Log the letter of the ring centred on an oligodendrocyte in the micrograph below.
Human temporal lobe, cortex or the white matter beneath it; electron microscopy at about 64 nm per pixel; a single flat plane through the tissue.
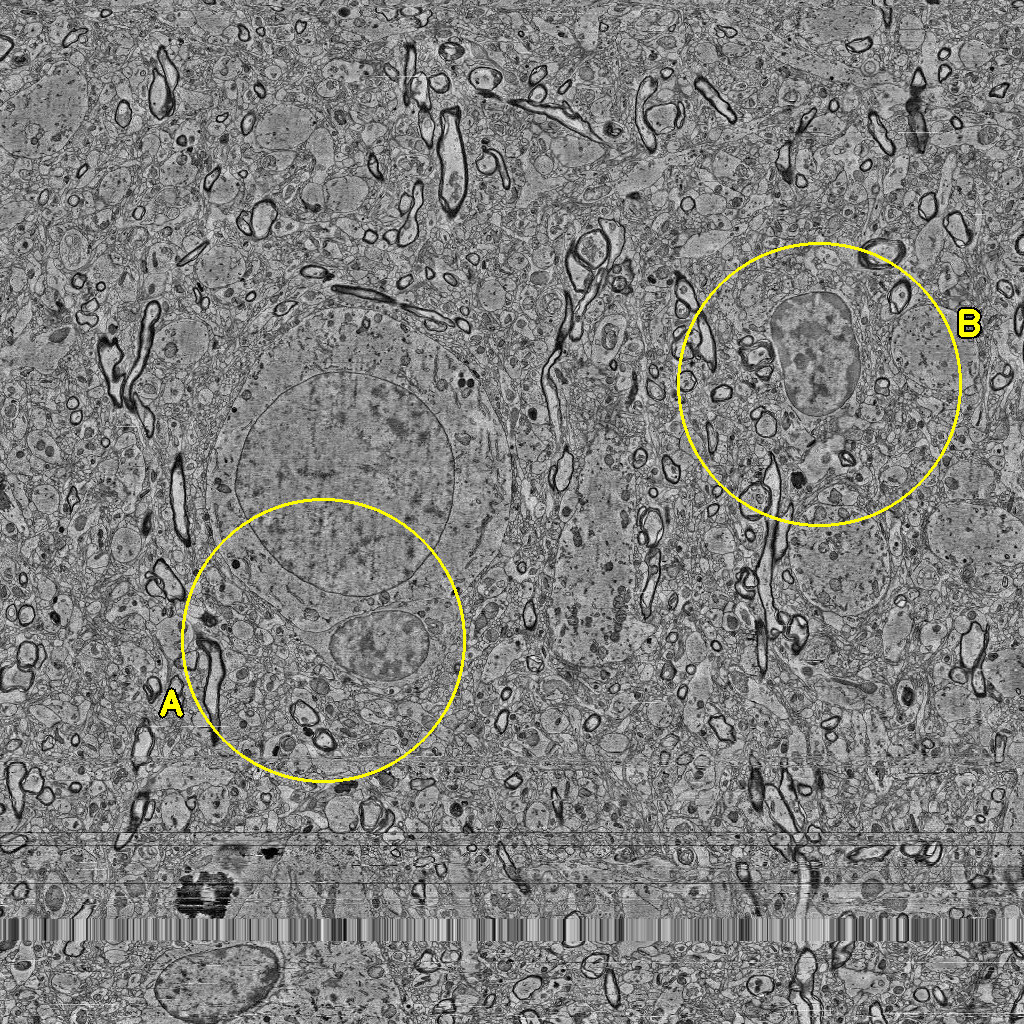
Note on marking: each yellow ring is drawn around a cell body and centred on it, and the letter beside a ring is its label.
A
